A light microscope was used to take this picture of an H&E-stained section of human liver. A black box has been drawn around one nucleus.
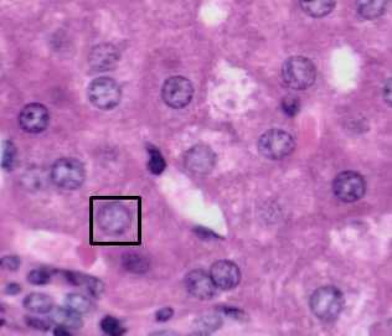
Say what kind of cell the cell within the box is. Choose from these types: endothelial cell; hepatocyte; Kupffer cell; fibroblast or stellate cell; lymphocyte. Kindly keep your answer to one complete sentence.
Recorded by type, the cell within the box is a hepatocyte.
